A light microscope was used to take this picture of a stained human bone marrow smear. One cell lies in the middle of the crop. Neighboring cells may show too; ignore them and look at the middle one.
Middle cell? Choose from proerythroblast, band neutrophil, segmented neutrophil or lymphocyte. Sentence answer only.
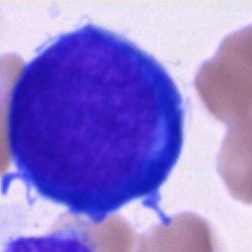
In the middle of this smear crop, the cell is a proerythroblast.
